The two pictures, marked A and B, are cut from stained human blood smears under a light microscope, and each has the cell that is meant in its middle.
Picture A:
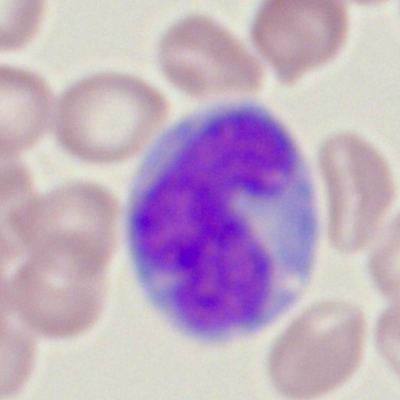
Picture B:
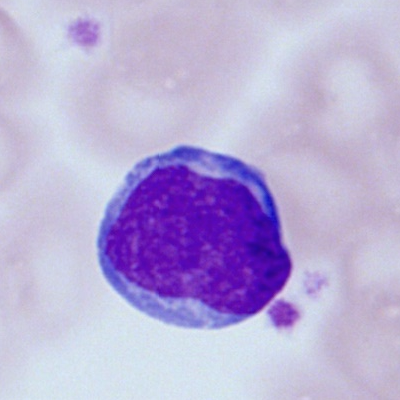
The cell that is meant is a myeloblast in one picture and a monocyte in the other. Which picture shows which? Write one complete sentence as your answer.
Picture B shows a myeloblast, while picture A shows a monocyte.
